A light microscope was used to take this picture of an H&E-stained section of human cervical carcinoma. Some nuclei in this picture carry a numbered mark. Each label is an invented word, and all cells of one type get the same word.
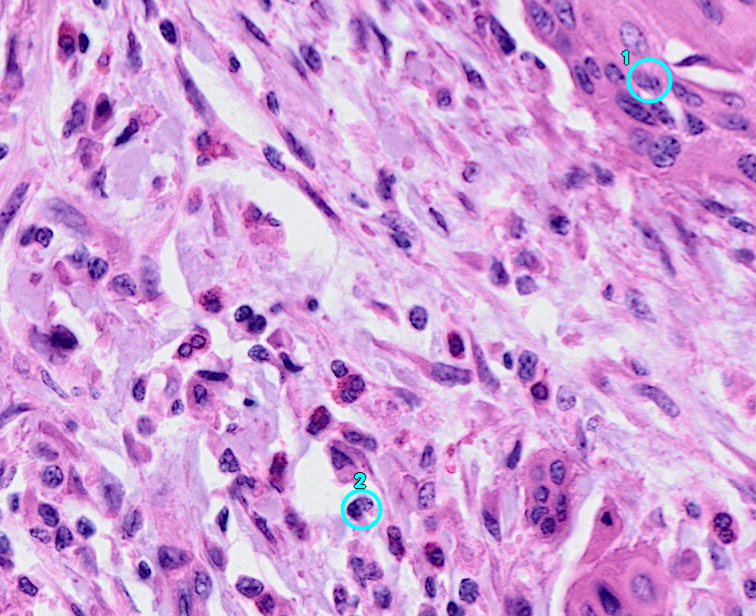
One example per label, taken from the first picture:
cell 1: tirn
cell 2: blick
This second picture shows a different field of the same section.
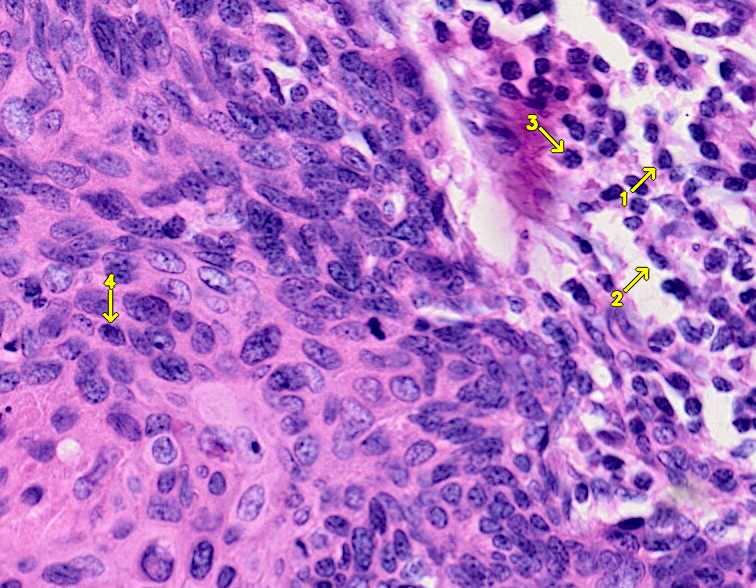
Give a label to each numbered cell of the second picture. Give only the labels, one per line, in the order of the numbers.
blick
blick
blick
tirn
